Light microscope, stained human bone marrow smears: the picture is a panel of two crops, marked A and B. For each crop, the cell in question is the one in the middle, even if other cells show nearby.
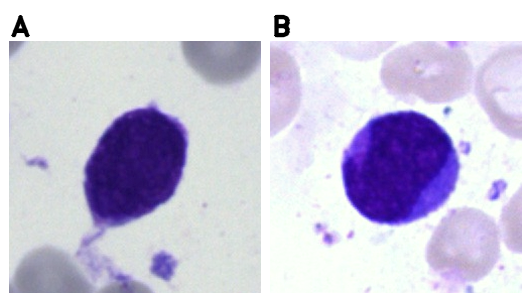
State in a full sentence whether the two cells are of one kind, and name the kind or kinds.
Yes, the central cells in both crops are blasts.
